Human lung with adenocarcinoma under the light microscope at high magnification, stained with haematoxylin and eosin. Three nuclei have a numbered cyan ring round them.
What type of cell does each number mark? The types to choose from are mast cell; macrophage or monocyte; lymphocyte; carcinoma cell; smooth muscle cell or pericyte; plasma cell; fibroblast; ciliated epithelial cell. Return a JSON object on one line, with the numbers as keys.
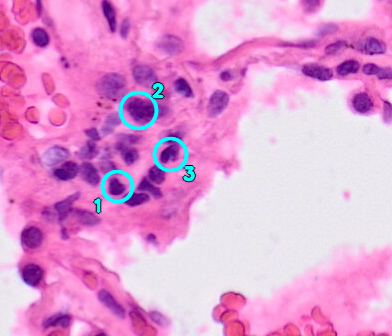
{"1": "lymphocyte", "2": "plasma cell", "3": "lymphocyte"}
